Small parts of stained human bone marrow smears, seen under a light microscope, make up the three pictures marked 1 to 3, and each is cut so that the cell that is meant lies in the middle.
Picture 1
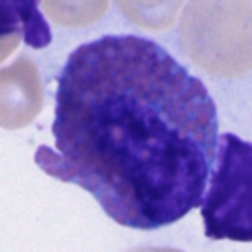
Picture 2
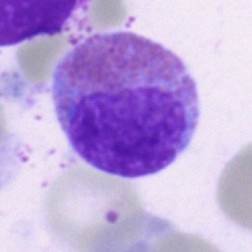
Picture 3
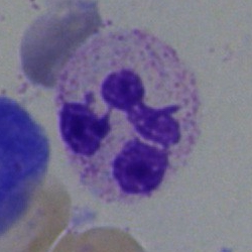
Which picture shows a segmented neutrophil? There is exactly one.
3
